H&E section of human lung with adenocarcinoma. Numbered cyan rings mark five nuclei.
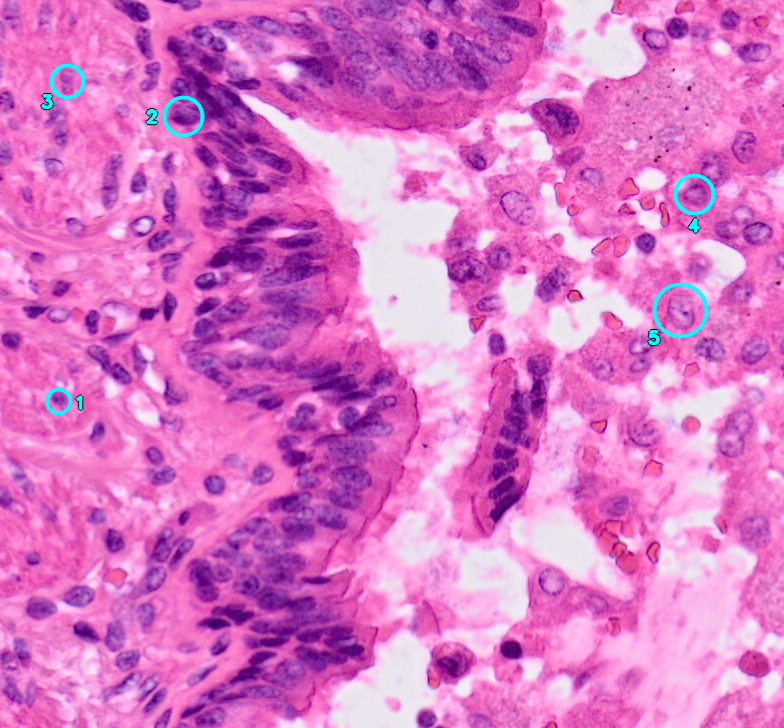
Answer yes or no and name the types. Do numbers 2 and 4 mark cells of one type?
No, cell 2 is categorized as a ciliated epithelial cell, while cell 4 is categorized as a macrophage or monocyte.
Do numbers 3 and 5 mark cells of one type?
No, the identities are a smooth muscle cell or pericyte for cell 3 and a macrophage or monocyte for cell 5.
